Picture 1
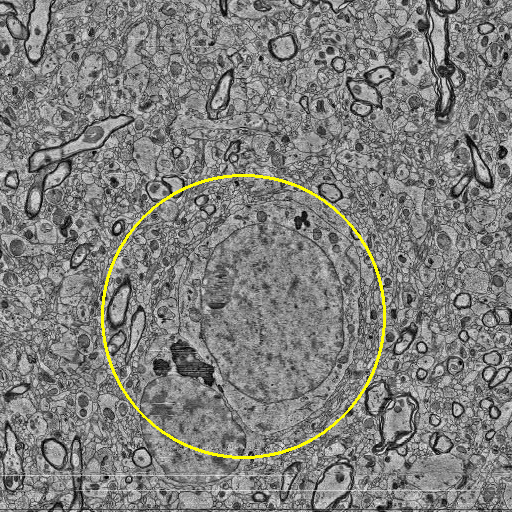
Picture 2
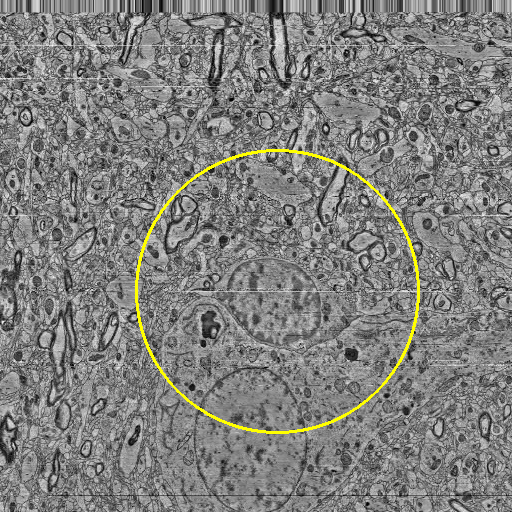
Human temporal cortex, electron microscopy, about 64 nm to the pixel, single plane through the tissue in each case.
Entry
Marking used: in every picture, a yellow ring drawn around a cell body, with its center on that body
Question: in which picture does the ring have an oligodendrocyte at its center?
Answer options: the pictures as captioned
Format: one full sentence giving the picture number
Picture 2 is where the ring's center falls on the requested cell.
